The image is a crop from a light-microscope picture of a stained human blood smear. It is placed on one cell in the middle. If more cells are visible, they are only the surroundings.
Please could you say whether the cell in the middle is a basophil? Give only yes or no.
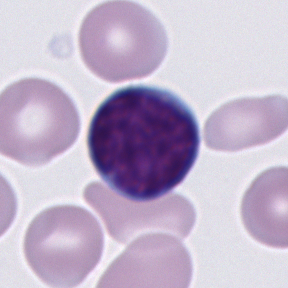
no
